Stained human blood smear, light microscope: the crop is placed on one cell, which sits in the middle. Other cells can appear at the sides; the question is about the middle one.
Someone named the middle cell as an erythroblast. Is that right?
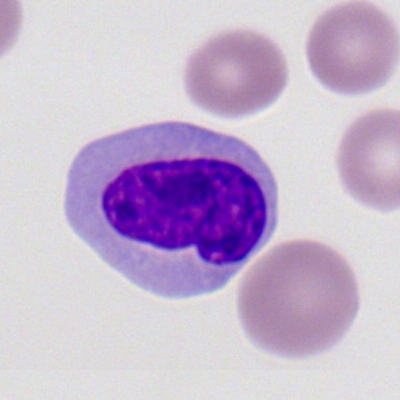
yes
